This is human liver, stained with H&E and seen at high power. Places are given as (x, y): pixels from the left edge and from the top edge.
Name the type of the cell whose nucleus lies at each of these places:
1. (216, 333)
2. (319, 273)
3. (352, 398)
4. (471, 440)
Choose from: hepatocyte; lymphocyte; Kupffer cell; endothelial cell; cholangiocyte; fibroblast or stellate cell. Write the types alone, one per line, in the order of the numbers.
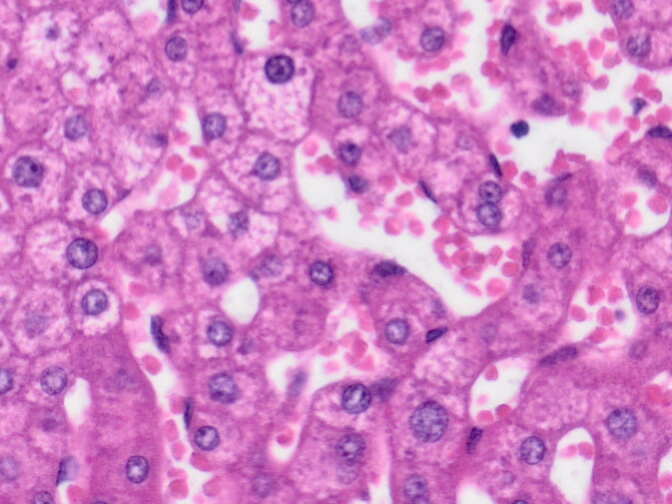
hepatocyte
hepatocyte
hepatocyte
fibroblast or stellate cell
